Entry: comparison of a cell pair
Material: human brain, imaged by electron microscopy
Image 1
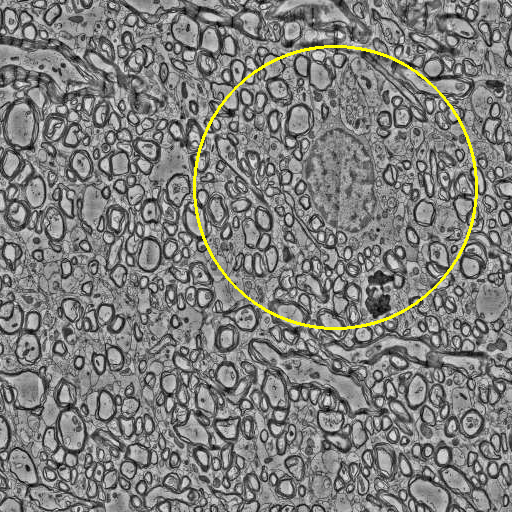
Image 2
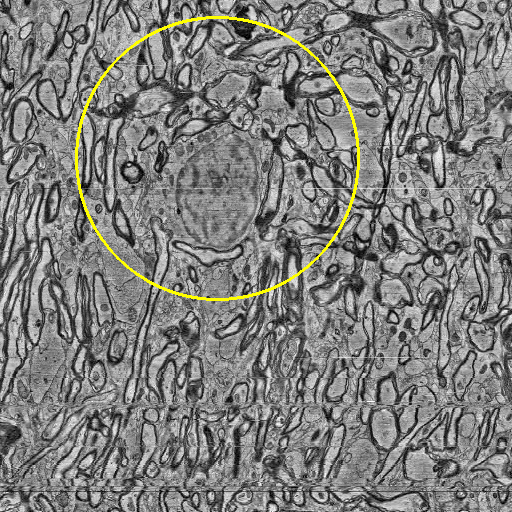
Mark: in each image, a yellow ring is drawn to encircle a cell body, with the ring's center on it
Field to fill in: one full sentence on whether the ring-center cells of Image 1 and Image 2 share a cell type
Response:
Yes, Image 1 and Image 2 each show a ring-center cell of one shared type.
